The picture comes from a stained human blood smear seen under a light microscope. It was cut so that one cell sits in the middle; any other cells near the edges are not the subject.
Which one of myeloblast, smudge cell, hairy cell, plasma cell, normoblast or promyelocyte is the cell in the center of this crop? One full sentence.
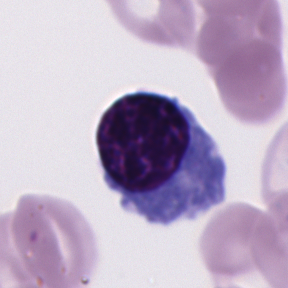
As for the central cell, it is a normoblast.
